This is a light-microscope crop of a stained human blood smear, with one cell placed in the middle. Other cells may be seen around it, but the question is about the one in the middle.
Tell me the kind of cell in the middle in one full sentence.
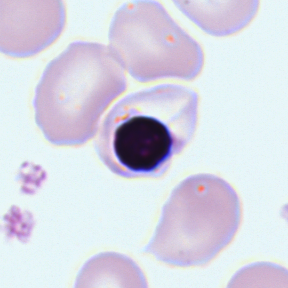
On this slide crop, the central cell is an erythroblast.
